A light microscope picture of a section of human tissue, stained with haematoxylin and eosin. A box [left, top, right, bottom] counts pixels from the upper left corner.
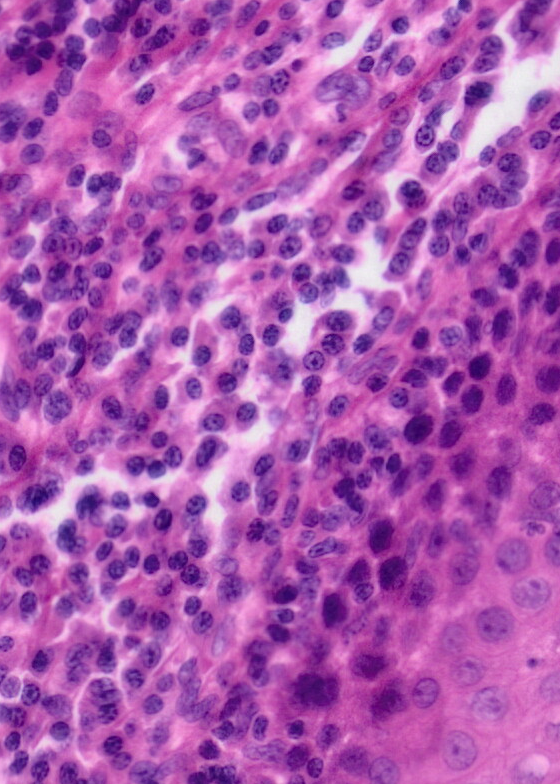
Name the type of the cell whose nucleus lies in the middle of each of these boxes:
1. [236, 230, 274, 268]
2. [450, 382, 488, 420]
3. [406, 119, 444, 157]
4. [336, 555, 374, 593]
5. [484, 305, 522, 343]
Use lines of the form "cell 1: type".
cell 1: plasma cell
cell 2: squamous epithelial cell
cell 3: plasma cell
cell 4: squamous epithelial cell
cell 5: squamous epithelial cell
